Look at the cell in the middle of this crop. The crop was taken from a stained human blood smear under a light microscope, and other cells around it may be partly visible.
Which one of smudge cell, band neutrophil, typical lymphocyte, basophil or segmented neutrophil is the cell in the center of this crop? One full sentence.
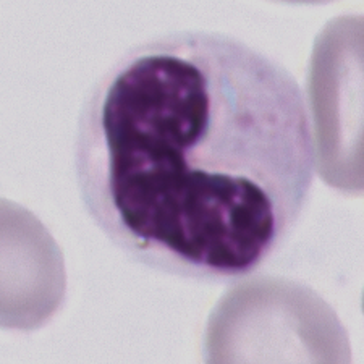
On this slide crop, the central cell is a band neutrophil.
